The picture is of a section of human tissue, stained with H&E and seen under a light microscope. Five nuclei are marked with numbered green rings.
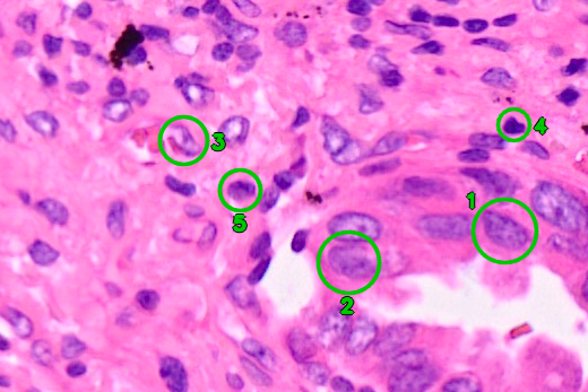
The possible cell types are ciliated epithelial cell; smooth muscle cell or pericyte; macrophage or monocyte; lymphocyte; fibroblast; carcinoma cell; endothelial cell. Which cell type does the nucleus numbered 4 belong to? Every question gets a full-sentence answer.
Cell 4 should be recorded as a lymphocyte.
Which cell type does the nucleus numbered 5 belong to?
The numeral 5 marks a lymphocyte in this section.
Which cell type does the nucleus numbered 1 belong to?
The identity of cell 1 is that of a carcinoma cell.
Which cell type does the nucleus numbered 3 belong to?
The numeral 3 marks an endothelial cell in this section.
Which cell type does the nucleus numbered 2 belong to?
Nucleus 2 in this section belongs to a carcinoma cell.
